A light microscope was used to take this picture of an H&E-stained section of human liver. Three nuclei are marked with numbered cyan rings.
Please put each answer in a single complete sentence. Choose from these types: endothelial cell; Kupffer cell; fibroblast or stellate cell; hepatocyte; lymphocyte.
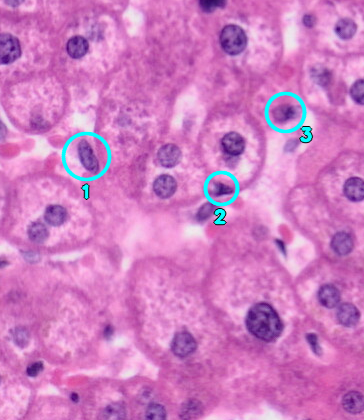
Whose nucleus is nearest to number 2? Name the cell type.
The nearest nucleus to number 2 belongs to a Kupffer cell.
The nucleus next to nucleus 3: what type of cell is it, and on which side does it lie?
The nearest one is a Kupffer cell, found below nucleus 3.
